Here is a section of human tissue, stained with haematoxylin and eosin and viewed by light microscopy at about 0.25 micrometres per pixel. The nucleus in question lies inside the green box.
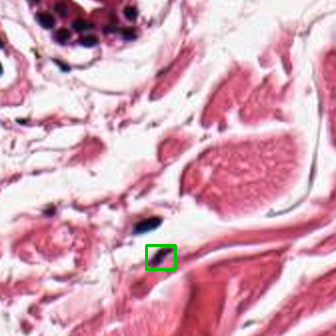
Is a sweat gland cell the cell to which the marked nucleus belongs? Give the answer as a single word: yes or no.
no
